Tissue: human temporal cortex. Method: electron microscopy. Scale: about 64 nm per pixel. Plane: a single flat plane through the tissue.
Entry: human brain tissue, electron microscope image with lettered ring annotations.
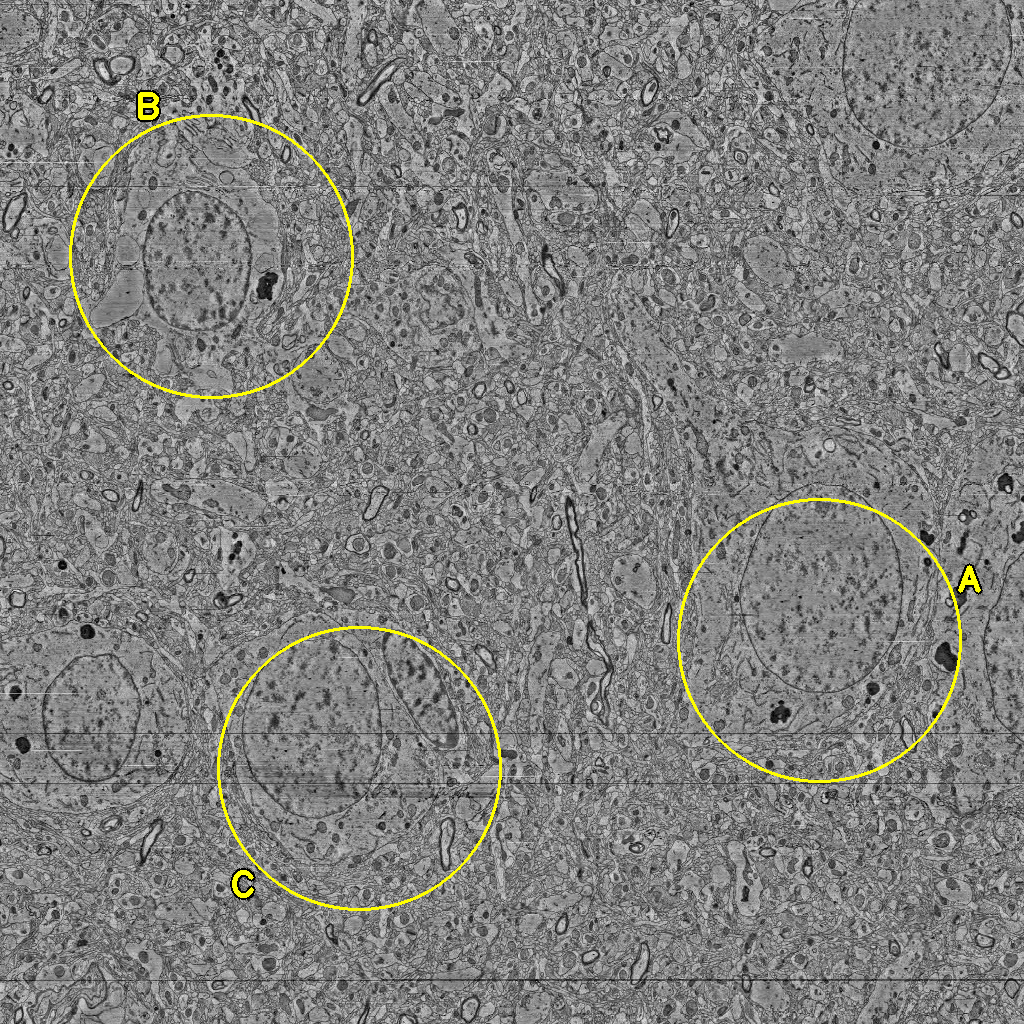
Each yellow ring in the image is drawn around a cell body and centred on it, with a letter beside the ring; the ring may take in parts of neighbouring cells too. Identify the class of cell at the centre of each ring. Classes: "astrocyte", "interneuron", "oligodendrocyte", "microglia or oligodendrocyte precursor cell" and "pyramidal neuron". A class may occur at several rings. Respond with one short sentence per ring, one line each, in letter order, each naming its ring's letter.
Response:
Ring A holds a pyramidal neuron at its centre.
Ring B holds an astrocyte at its centre.
Ring C holds a pyramidal neuron at its centre.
